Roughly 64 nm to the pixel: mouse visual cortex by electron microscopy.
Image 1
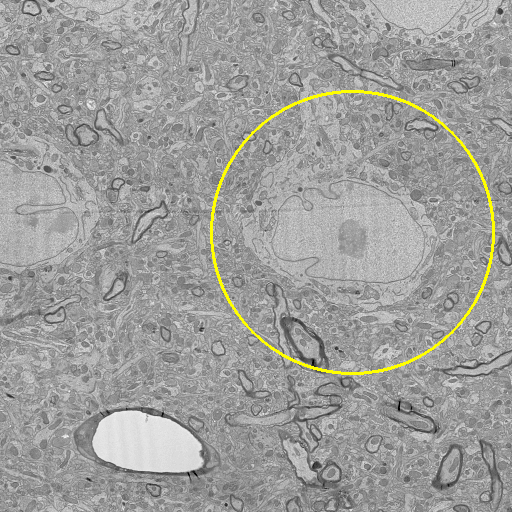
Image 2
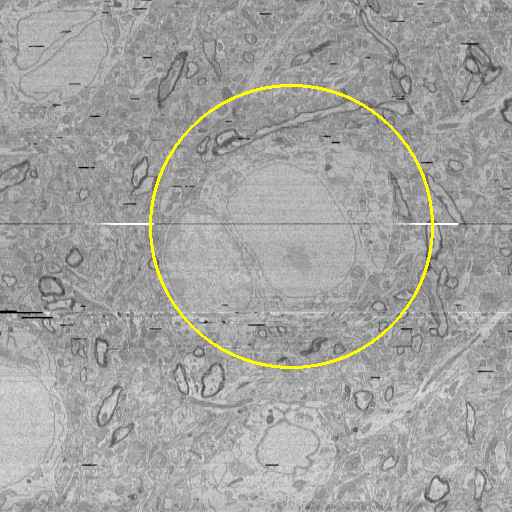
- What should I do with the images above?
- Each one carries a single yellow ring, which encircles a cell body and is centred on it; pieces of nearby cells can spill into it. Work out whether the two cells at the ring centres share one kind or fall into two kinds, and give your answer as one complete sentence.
The ring-centre cells of Image 1 and Image 2 share one kind.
